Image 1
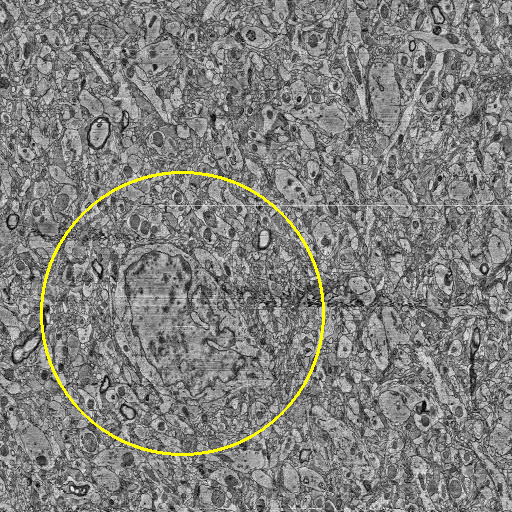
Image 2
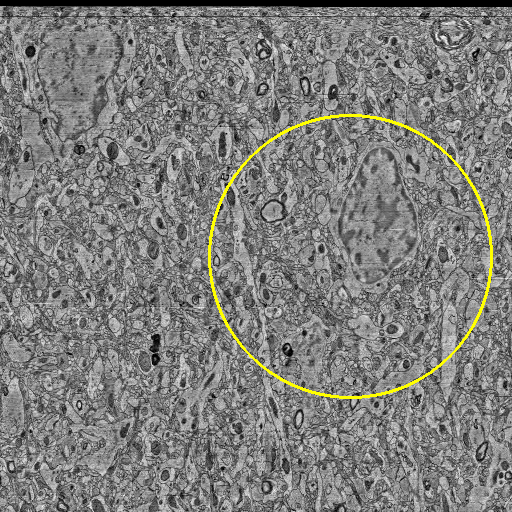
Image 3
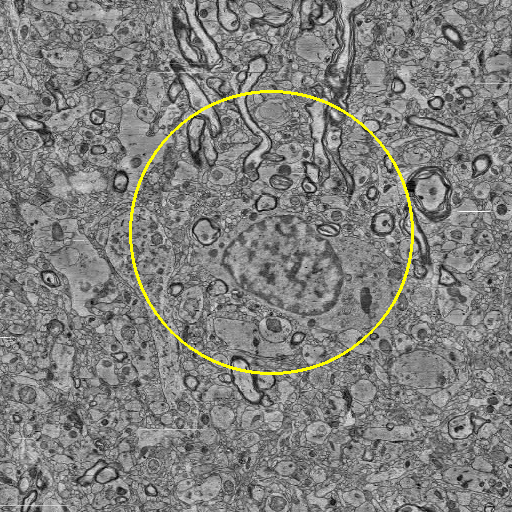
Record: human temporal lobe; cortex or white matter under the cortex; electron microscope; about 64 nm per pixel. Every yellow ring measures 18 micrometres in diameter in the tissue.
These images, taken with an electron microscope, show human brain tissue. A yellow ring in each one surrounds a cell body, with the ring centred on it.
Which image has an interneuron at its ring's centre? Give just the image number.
1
